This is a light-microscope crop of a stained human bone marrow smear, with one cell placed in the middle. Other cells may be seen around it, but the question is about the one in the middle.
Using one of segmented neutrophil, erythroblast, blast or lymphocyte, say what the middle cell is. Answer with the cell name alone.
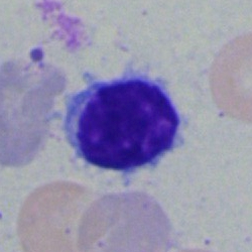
lymphocyte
